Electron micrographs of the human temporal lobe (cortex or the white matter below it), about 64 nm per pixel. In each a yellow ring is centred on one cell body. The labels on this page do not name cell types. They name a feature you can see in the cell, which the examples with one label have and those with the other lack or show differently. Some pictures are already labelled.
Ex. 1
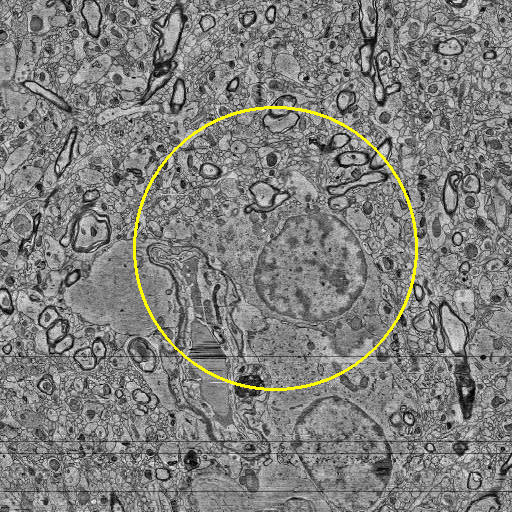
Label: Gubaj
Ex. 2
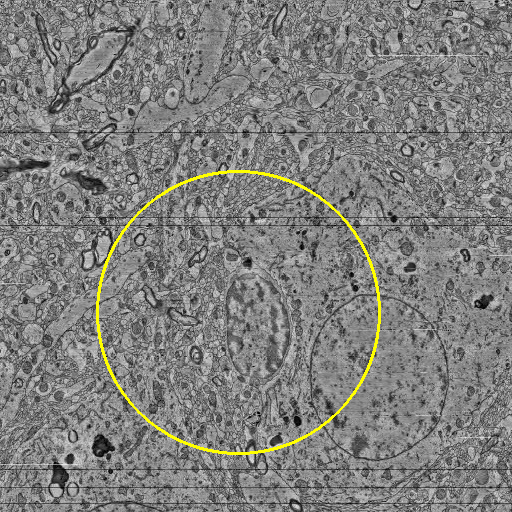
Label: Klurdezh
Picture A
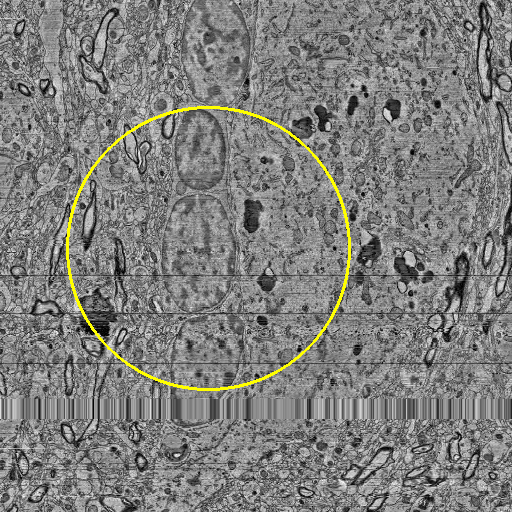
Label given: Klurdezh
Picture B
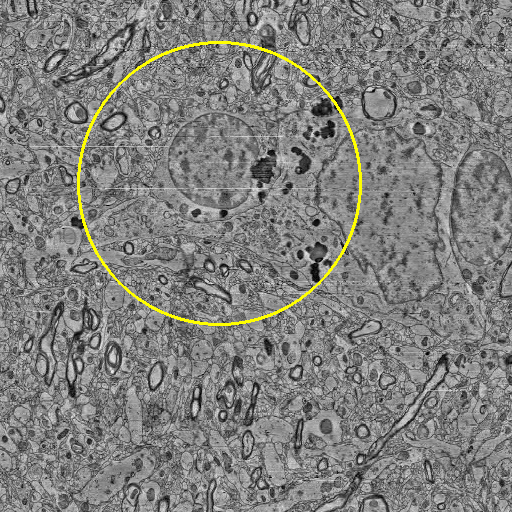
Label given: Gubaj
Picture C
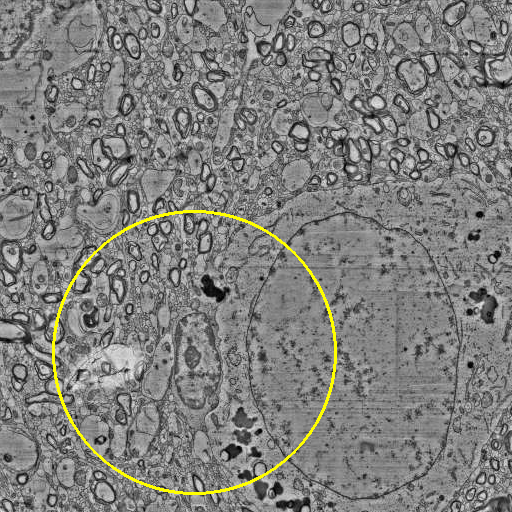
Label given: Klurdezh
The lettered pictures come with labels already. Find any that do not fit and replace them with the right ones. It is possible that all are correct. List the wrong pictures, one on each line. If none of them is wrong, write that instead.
No label is wrong.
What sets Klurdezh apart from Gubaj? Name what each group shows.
Klurdezh, clearly elongated nuclei; Gubaj, round or nearly round nuclei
